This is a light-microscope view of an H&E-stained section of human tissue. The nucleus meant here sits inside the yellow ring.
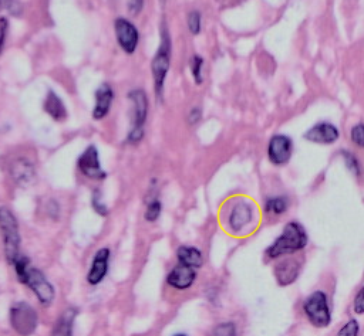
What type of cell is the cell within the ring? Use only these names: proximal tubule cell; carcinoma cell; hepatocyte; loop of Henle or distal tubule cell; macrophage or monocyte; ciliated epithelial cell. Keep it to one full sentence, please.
As for its identity, the cell within the ring is a macrophage or monocyte.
